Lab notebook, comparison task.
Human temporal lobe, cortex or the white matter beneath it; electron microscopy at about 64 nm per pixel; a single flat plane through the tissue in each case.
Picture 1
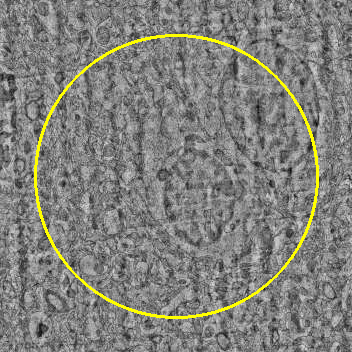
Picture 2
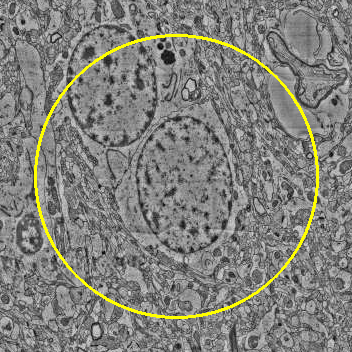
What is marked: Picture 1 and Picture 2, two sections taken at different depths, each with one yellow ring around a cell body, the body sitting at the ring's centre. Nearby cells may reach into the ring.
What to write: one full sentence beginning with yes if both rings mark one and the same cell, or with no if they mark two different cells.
No, in this micrograph the two rings mark two different cells.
